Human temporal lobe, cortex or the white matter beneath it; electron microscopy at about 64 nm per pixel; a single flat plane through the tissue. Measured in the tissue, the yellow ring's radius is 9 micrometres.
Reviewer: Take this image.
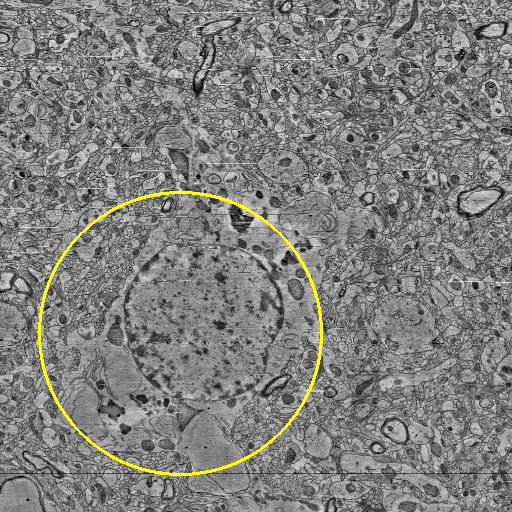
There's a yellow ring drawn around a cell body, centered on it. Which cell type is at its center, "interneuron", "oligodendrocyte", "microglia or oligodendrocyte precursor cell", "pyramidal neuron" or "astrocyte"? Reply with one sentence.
At the center of the yellow ring is an astrocyte.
